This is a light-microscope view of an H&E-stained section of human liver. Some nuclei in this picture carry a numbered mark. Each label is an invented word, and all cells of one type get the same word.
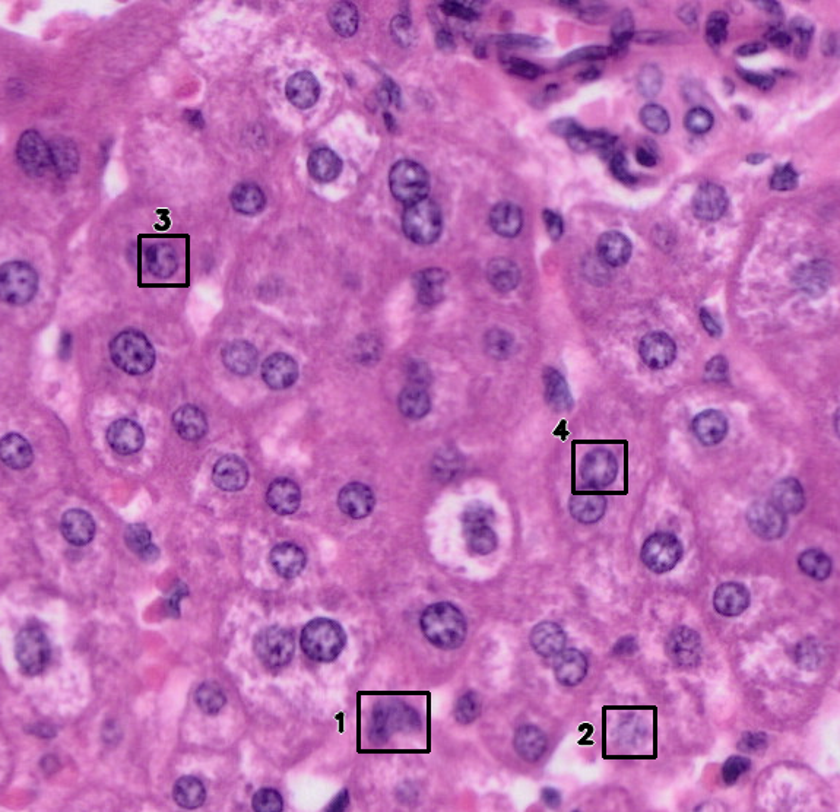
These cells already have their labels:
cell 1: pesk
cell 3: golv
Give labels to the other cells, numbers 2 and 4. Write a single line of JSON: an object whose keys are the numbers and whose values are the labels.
{"2": "golv", "4": "golv"}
